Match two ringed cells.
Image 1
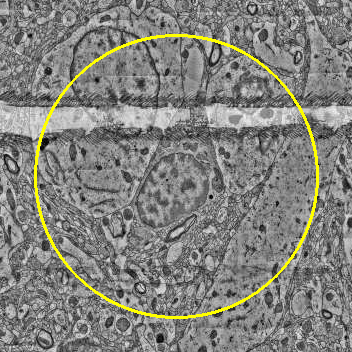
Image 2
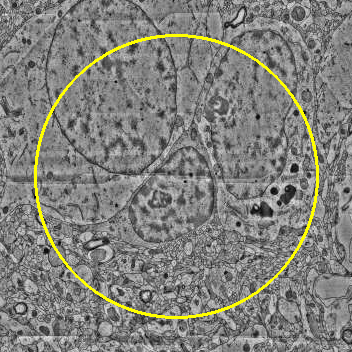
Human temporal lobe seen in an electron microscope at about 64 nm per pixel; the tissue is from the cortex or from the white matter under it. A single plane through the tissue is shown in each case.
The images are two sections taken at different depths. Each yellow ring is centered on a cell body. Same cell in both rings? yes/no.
yes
